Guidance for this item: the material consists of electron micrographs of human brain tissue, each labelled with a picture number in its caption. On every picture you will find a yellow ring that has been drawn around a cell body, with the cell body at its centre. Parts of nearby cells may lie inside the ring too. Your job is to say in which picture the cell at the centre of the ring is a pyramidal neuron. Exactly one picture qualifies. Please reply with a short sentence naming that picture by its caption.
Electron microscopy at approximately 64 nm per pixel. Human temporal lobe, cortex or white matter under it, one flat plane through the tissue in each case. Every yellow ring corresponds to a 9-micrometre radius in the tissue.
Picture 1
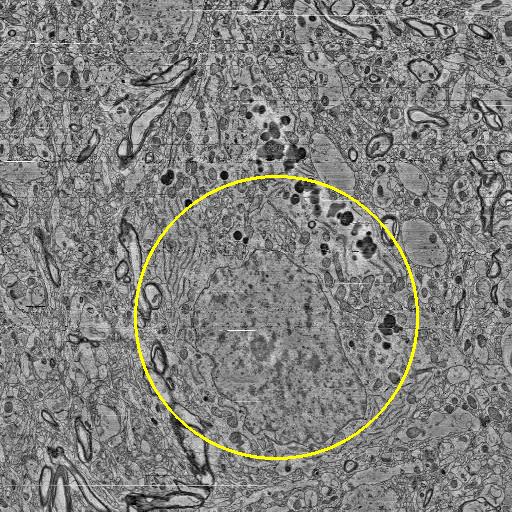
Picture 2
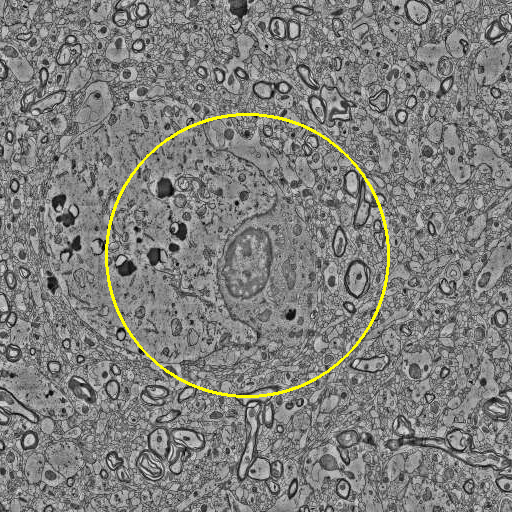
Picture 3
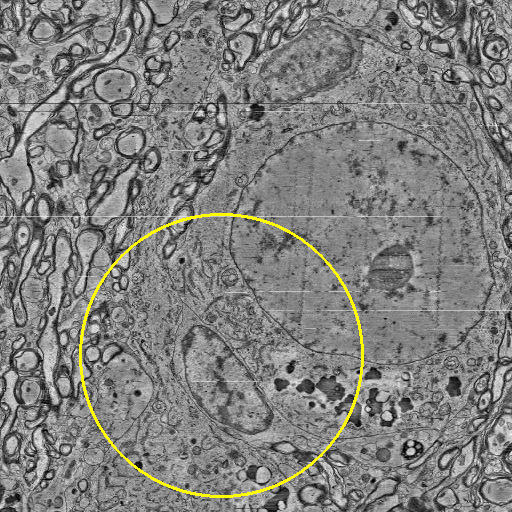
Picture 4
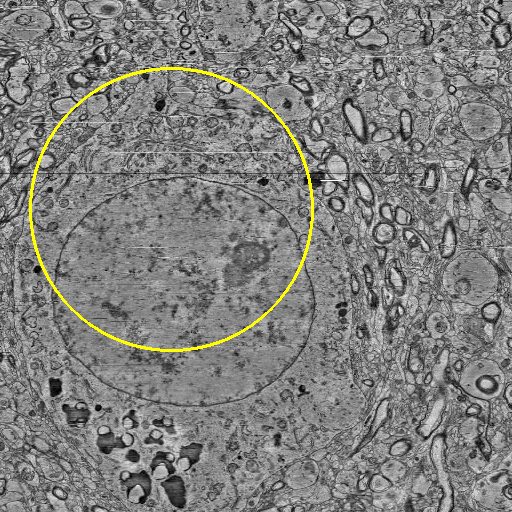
Picture 4 shows it at the centre of the ring.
